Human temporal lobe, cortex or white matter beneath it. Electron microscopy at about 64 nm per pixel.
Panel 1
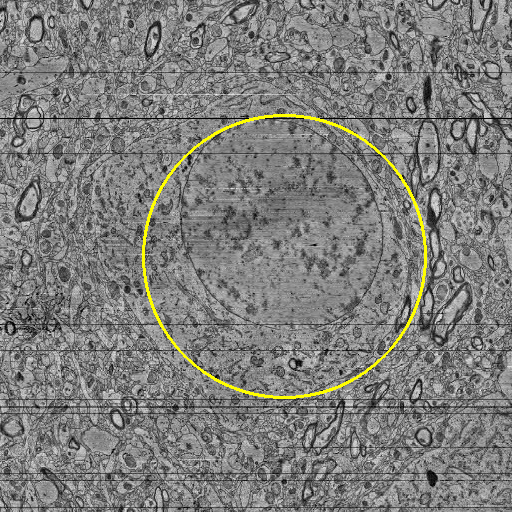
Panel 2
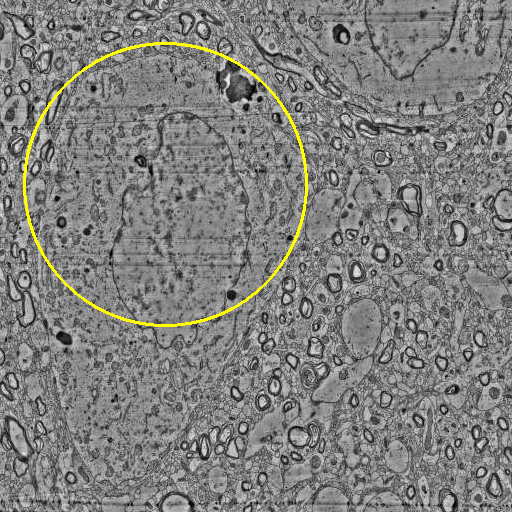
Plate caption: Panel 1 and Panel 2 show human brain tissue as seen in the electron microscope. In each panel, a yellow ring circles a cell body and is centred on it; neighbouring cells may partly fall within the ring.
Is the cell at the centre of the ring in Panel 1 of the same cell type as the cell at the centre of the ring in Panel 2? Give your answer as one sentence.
Yes, the two cells are of the same type.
